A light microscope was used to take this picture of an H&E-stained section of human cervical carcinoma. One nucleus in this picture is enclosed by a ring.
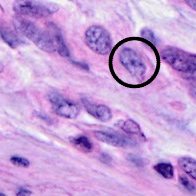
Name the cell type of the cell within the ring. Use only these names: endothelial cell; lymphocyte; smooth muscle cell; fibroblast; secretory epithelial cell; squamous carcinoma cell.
endothelial cell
